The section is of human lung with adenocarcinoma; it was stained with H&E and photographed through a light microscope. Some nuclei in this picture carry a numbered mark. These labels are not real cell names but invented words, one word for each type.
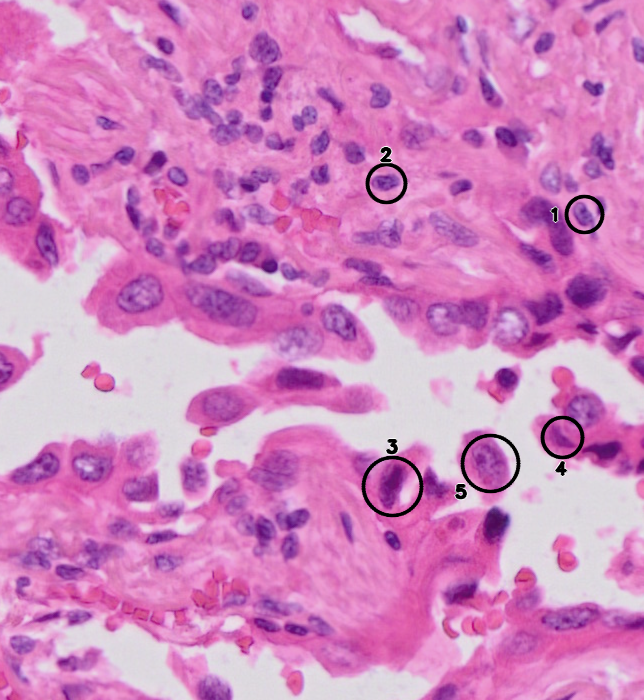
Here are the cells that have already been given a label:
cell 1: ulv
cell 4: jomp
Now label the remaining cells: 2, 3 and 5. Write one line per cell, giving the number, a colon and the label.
2: ulv
3: jomp
5: jomp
